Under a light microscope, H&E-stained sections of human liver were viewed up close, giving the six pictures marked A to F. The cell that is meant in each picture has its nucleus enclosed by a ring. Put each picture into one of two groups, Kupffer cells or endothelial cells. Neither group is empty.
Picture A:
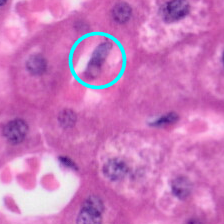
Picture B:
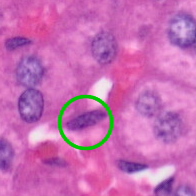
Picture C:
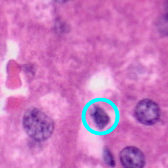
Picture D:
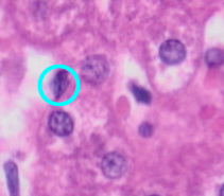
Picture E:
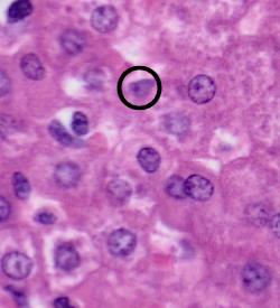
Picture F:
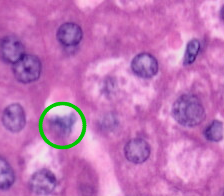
A: Kupffer cell
B: Kupffer cell
C: endothelial cell
D: endothelial cell
E: endothelial cell
F: endothelial cell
